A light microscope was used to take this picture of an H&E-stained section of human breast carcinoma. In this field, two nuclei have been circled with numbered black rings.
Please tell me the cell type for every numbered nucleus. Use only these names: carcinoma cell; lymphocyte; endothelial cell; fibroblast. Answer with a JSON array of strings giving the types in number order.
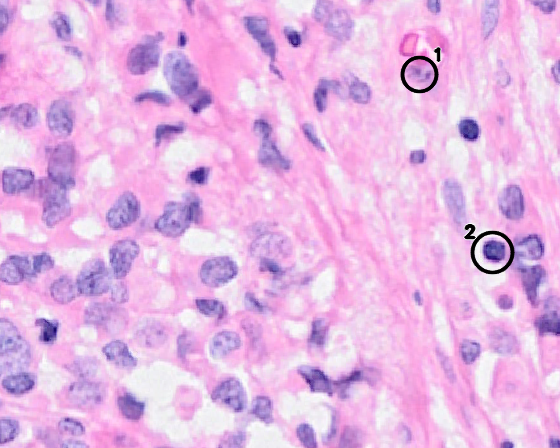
["endothelial cell", "lymphocyte"]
